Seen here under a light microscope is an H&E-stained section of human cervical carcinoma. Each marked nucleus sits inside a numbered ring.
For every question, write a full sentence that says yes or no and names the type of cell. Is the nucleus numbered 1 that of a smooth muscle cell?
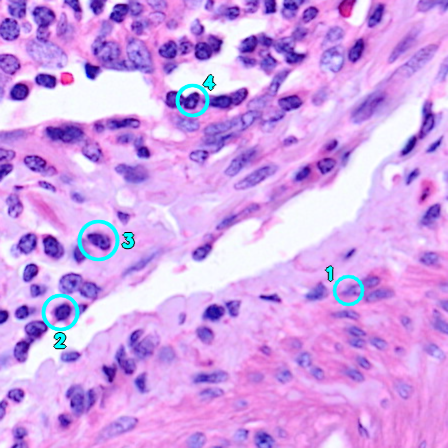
Yes, that is so; number 1 marks a smooth muscle cell.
